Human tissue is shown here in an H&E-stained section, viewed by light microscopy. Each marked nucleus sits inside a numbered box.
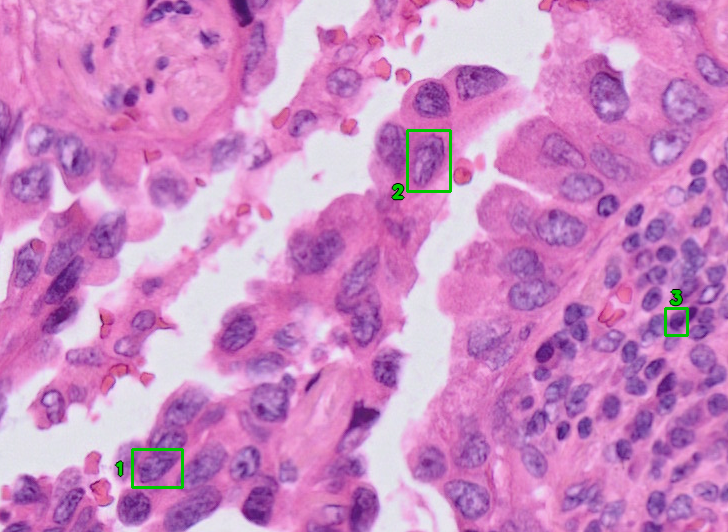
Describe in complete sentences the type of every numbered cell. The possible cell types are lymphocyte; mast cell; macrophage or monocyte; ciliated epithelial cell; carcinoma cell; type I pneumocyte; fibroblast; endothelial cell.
Cell 1 is a carcinoma cell, cell 2 is a carcinoma cell and cell 3 is a lymphocyte.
